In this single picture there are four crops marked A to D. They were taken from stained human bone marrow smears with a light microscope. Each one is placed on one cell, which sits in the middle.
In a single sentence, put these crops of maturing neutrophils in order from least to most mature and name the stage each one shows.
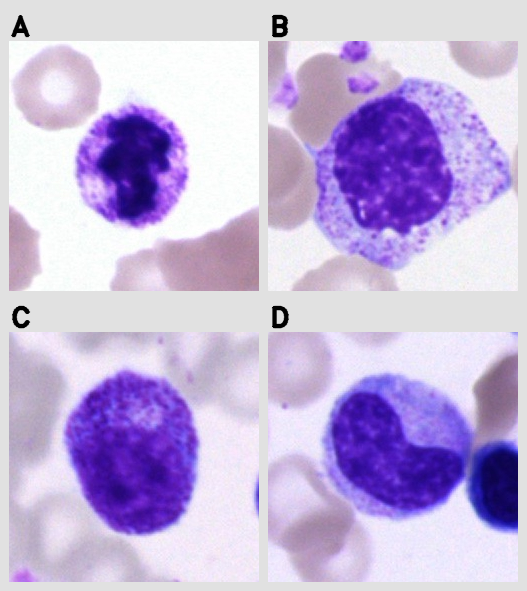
What results from ordering by maturity, least to most, is crop C (a promyelocyte), crop B (a myelocyte), crop D (a metamyelocyte) and crop A (a segmented neutrophil).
